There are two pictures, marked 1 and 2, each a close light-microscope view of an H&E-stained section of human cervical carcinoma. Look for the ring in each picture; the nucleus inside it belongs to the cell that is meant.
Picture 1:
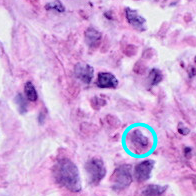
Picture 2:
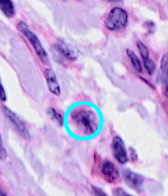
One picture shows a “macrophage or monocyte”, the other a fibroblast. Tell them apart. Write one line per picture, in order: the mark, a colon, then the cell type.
1: fibroblast
2: macrophage or monocyte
